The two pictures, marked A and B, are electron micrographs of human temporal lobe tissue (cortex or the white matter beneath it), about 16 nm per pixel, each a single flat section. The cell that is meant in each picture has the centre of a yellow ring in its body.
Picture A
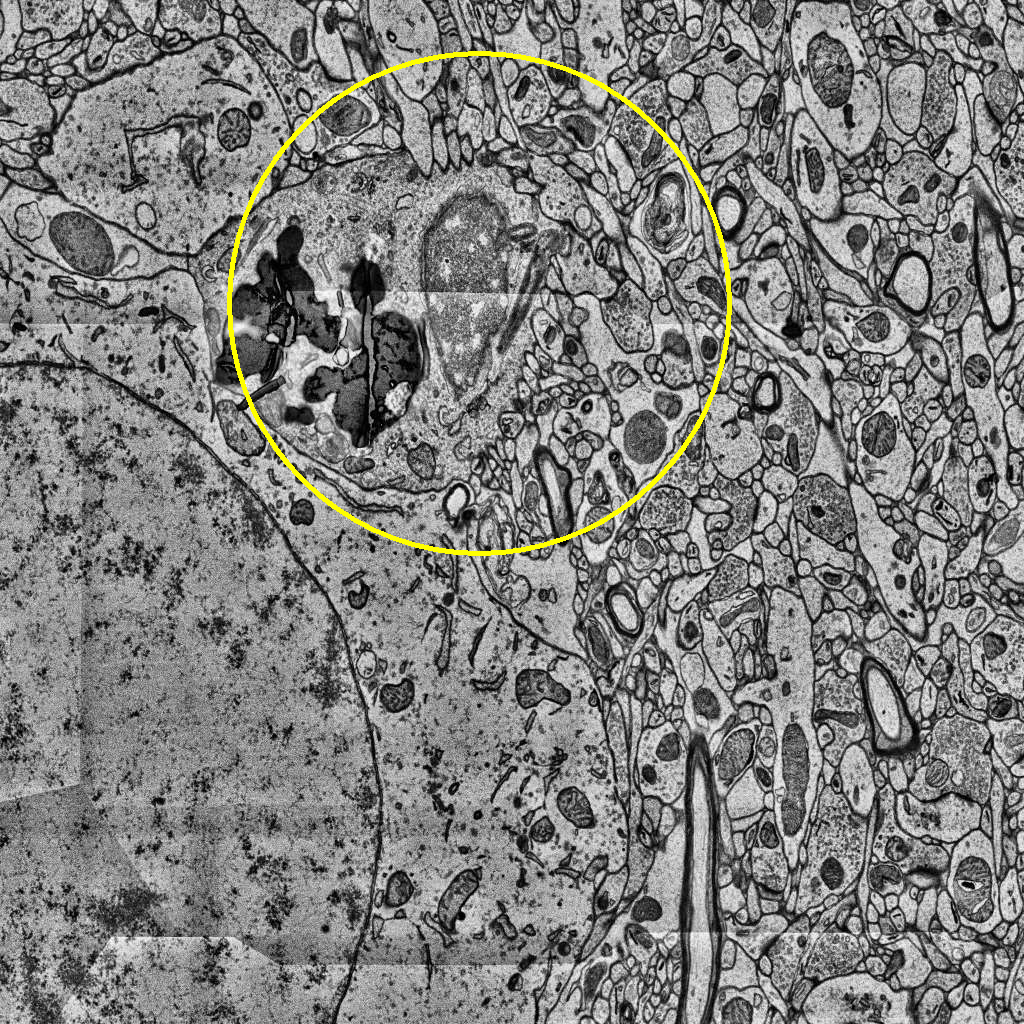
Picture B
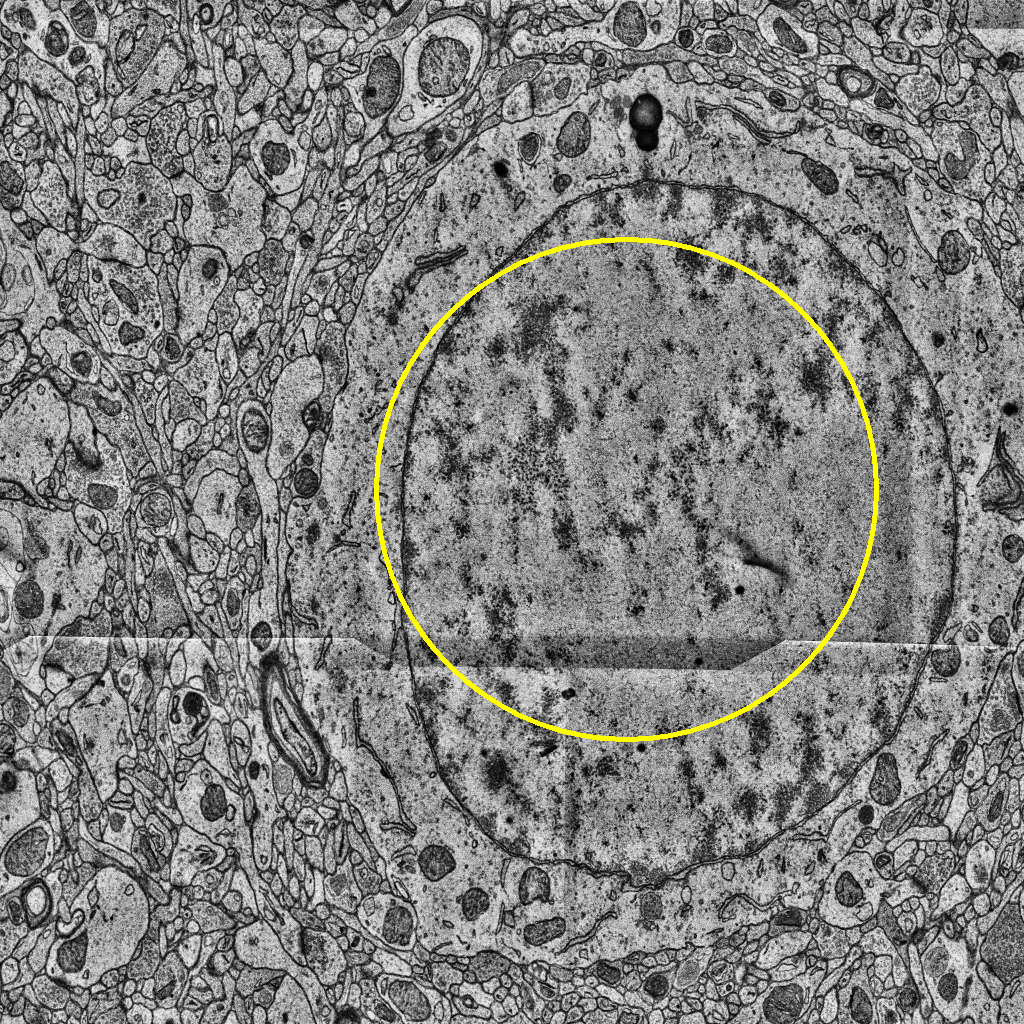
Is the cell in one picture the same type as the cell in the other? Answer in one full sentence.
No, picture A shows an oligodendrocyte and picture B shows a pyramidal neuron.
